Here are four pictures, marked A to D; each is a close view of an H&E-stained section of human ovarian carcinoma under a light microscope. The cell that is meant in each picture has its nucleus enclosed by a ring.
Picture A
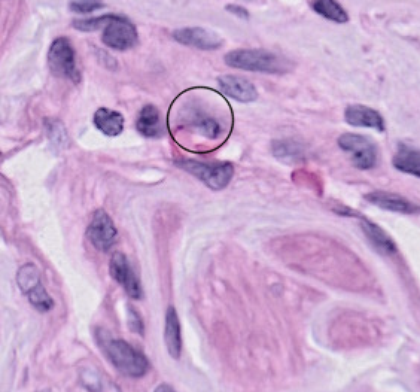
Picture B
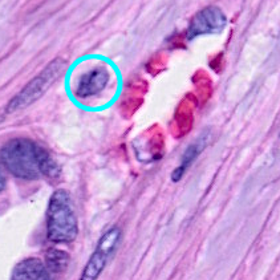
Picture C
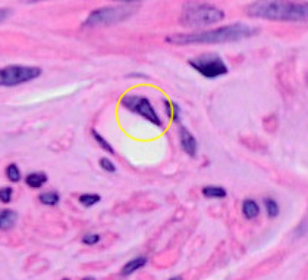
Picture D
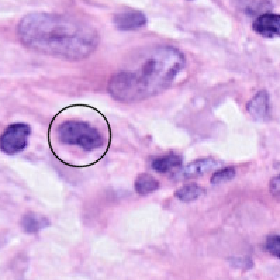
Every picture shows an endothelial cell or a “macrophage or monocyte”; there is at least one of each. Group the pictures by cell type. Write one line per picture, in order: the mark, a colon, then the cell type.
A: endothelial cell
B: macrophage or monocyte
C: endothelial cell
D: macrophage or monocyte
